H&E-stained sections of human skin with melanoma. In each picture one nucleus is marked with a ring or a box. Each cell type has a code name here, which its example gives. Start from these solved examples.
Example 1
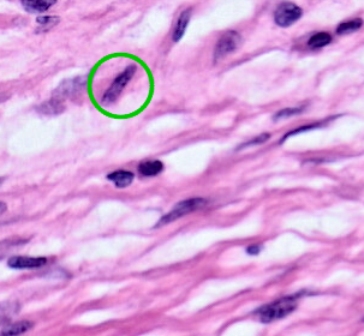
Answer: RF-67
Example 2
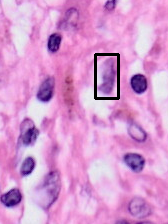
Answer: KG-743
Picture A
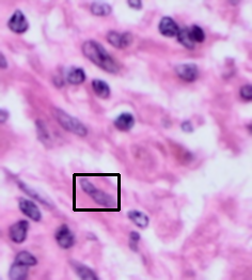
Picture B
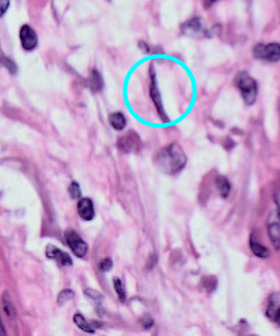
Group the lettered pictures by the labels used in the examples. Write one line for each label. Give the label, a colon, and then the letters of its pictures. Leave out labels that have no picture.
RF-67: A
KG-743: B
